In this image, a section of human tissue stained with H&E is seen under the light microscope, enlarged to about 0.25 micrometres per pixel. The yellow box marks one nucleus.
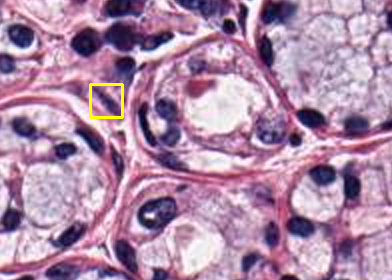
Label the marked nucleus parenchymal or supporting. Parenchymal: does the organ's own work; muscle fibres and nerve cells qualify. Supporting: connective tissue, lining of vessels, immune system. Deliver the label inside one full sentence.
Located within a supporting cell is the nucleus that has been marked.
